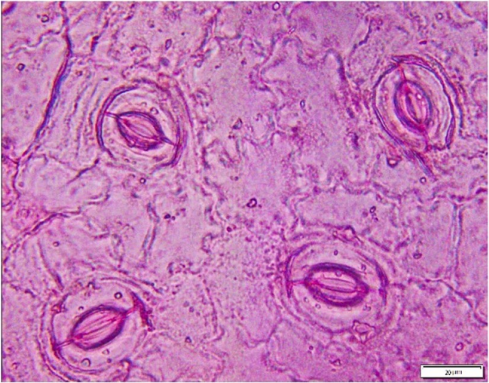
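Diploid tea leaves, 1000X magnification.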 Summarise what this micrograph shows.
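Leaf epidermis with several stomata, each formed by a pair of curved guard cells enclosing a narrow slit-like pore and ringed by concentric pink-purple rims. Between the stomata lie epidermal cells with thin, wavy outlines on a pale pink background.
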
